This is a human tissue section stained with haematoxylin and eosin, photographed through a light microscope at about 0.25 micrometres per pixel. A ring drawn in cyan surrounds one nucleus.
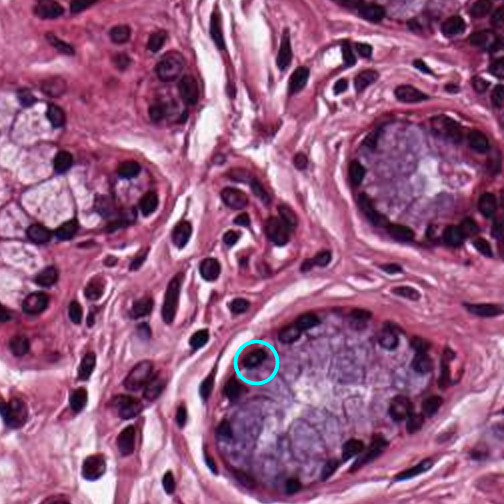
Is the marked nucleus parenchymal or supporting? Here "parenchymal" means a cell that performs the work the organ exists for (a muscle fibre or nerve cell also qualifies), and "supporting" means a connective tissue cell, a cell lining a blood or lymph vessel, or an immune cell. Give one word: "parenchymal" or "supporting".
parenchymal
